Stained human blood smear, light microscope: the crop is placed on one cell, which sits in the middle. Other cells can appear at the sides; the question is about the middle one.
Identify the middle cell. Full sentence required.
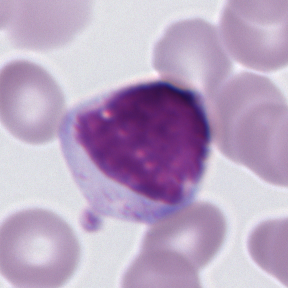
What sits at the centre of this crop is a large granular lymphocyte.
